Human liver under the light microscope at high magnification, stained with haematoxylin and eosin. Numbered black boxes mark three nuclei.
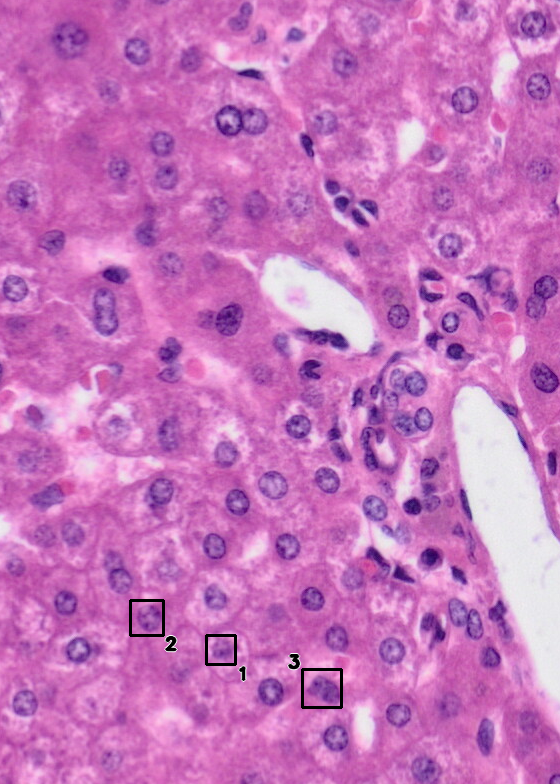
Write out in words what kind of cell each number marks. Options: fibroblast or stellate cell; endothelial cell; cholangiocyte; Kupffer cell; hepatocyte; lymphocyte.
Cell 1 is a hepatocyte, cell 2 is a hepatocyte and cell 3 is a Kupffer cell.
